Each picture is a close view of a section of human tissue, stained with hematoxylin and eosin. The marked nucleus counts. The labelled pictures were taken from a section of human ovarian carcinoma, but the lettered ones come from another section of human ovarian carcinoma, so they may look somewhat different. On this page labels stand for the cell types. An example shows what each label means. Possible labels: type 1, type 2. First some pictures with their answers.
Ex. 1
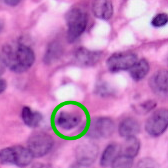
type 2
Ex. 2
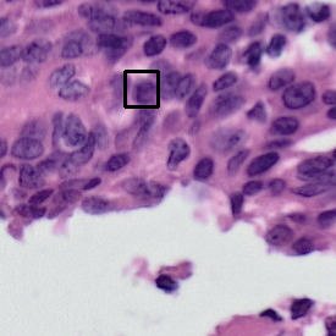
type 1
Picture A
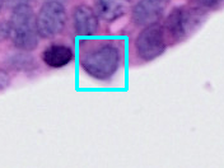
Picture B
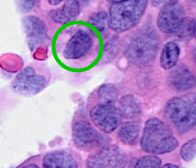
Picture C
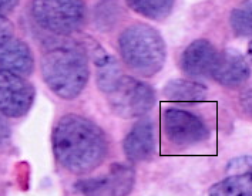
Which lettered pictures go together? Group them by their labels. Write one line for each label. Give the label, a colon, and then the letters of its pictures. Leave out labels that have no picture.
type 1: A, B, C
